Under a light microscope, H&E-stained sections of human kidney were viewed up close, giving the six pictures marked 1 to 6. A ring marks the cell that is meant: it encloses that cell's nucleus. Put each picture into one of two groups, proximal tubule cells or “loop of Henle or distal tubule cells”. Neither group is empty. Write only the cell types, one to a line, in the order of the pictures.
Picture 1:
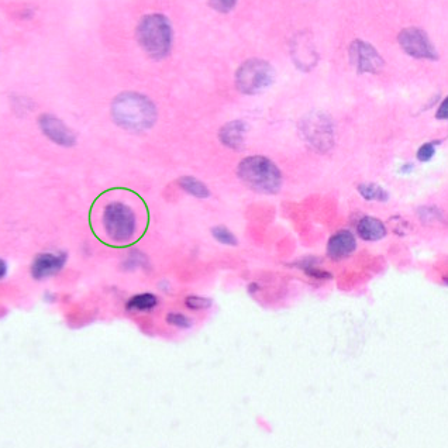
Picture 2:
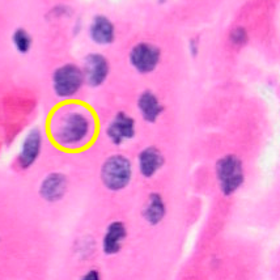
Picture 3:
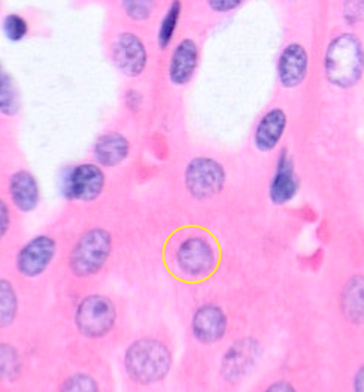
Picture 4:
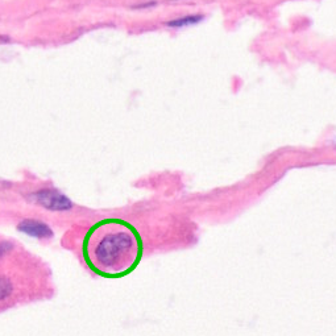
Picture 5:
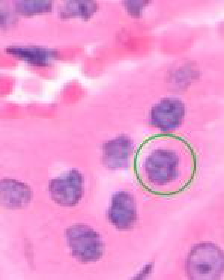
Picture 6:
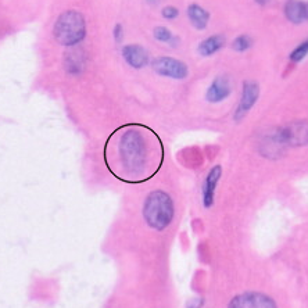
proximal tubule cell
loop of Henle or distal tubule cell
proximal tubule cell
proximal tubule cell
loop of Henle or distal tubule cell
proximal tubule cell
